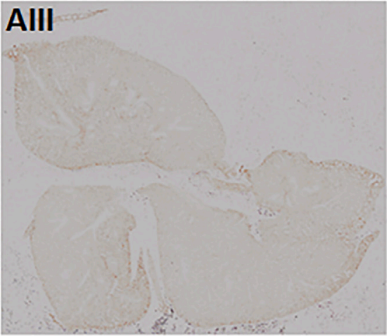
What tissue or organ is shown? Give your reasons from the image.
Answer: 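Several separate lobe-shaped tissue sections with smooth outer borders. Fine spongy texture throughout the sections. Branching airway and vessel profiles cut within the lobes. The answer: Lung.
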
